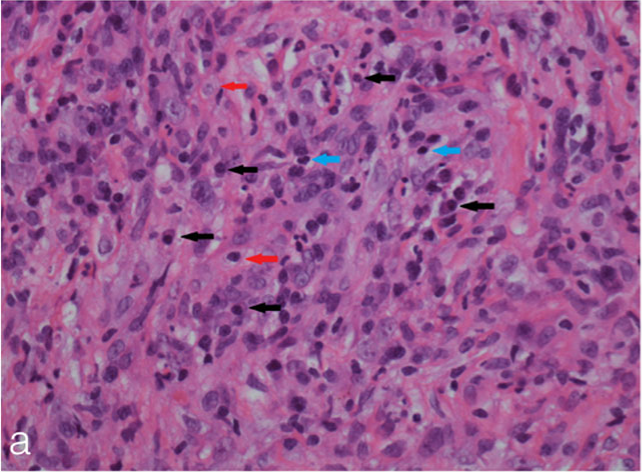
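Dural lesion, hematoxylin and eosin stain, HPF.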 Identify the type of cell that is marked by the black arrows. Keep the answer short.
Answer: Plasma cells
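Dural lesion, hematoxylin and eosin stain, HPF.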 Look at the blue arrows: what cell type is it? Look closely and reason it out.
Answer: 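Marked cells are small with dark nuclei. Marked cells have very little visible cytoplasm. On this evidence: lymphocytes.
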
